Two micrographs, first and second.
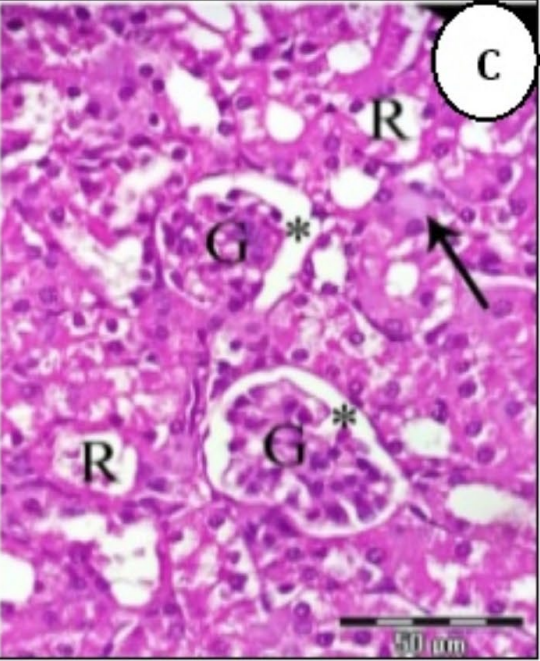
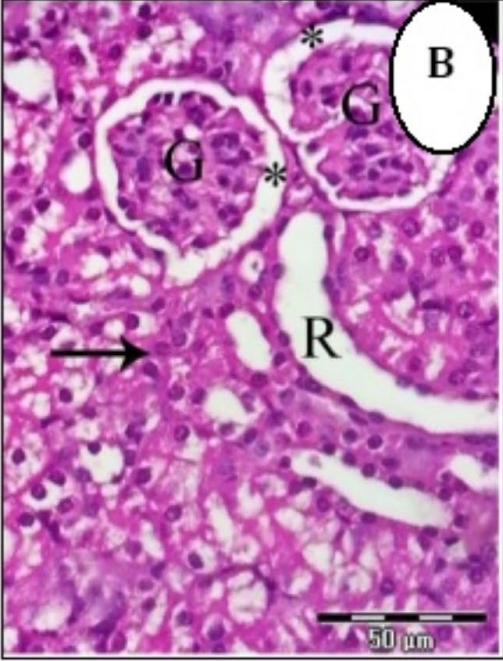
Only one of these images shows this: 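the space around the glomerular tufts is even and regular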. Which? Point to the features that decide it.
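First image: the clear space around the glomerular tufts is wide on one side and narrow on another. The answer: the second image.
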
